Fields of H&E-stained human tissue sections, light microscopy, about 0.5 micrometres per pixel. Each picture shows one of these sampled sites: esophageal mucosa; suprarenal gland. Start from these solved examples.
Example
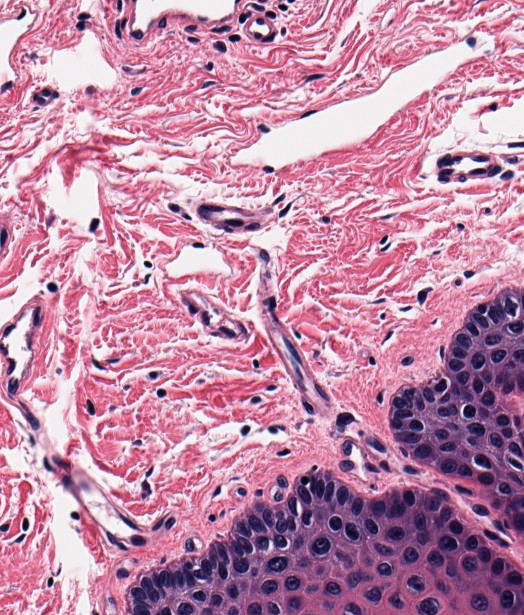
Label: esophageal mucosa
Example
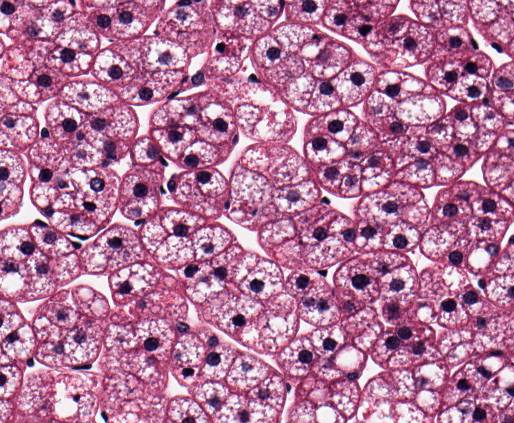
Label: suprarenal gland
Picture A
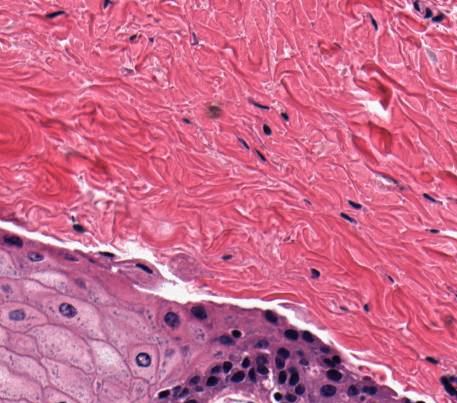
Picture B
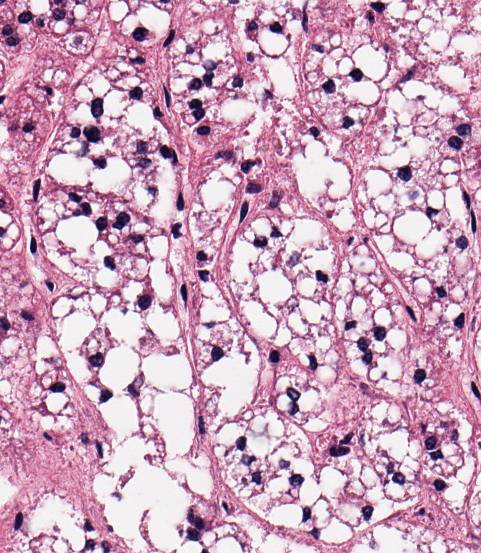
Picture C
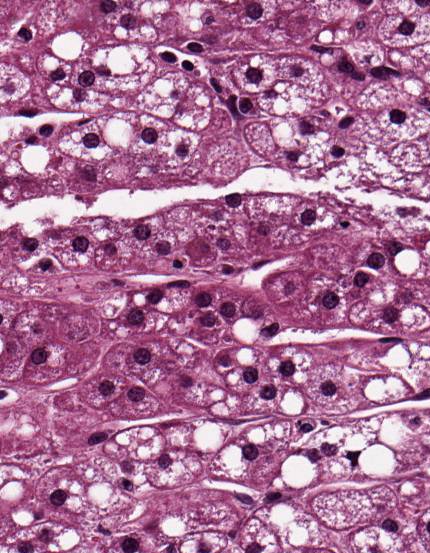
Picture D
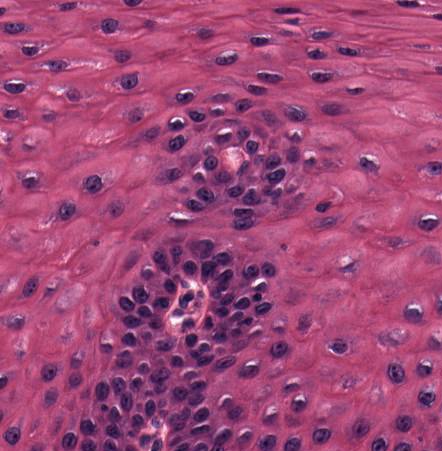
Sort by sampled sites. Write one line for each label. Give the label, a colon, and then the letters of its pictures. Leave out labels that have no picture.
esophageal mucosa: A, D
suprarenal gland: B, C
